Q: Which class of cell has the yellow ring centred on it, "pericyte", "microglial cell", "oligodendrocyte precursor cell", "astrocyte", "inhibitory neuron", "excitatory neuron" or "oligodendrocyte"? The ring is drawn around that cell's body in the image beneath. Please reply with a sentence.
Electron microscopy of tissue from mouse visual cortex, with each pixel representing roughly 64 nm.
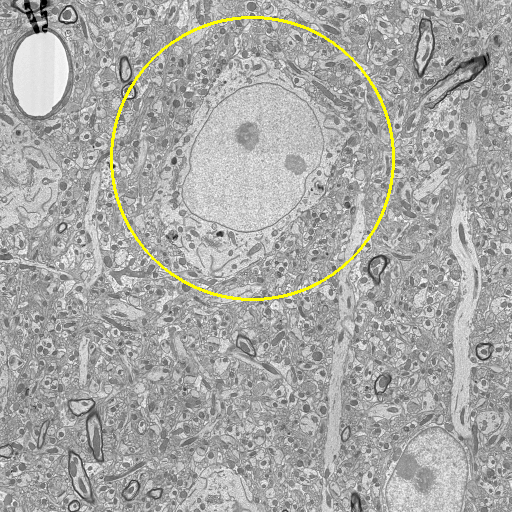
It is centred on an excitatory neuron.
